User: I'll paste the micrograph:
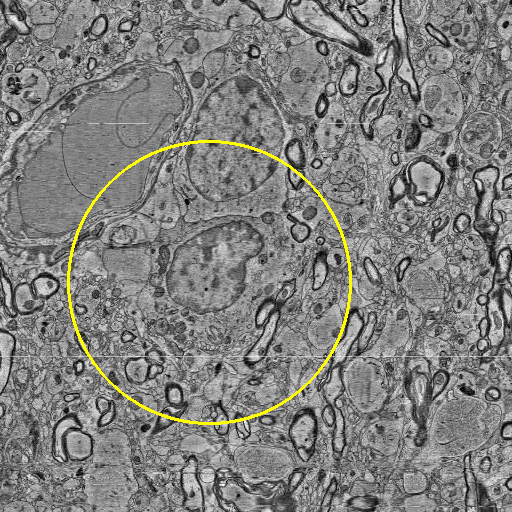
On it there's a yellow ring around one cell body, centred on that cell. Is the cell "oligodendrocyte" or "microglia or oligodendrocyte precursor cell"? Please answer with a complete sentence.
The cell ringed in yellow is an oligodendrocyte.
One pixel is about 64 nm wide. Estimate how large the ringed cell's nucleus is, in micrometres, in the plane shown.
Roughly 7 by 5 micrometres in this plane, for the nucleus of the ringed cell.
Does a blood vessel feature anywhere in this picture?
Yes.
